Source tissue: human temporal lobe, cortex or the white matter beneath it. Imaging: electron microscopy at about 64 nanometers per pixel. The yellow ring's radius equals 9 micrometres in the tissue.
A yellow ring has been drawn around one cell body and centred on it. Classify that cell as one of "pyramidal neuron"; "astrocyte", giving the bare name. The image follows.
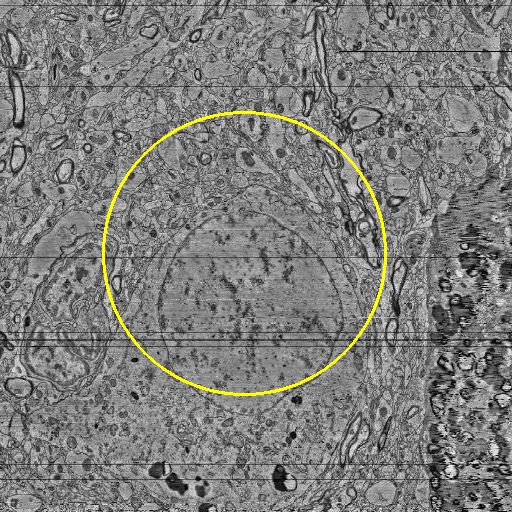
pyramidal neuron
